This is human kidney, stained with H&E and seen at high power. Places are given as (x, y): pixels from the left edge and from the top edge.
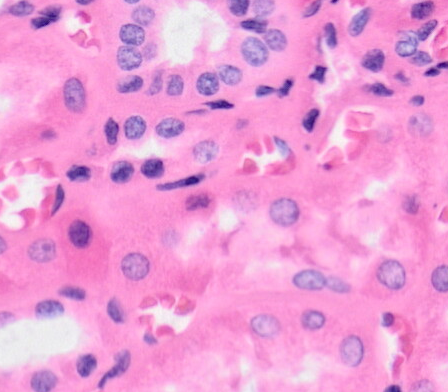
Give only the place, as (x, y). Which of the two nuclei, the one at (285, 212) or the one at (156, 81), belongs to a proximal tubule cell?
(285, 212)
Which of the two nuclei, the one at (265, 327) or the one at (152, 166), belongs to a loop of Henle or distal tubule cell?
(152, 166)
